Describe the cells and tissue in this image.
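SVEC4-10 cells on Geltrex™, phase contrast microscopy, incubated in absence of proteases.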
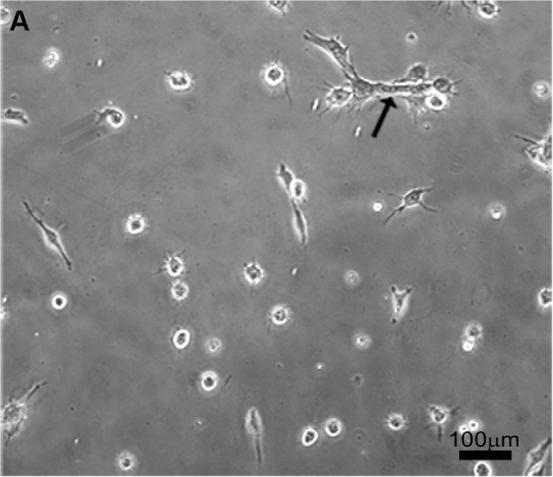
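A few cells are flattened and spindle-shaped with short processes. At one place a small group of elongated cells lies in a line, beginning to form a tube. No network of cords is present.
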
